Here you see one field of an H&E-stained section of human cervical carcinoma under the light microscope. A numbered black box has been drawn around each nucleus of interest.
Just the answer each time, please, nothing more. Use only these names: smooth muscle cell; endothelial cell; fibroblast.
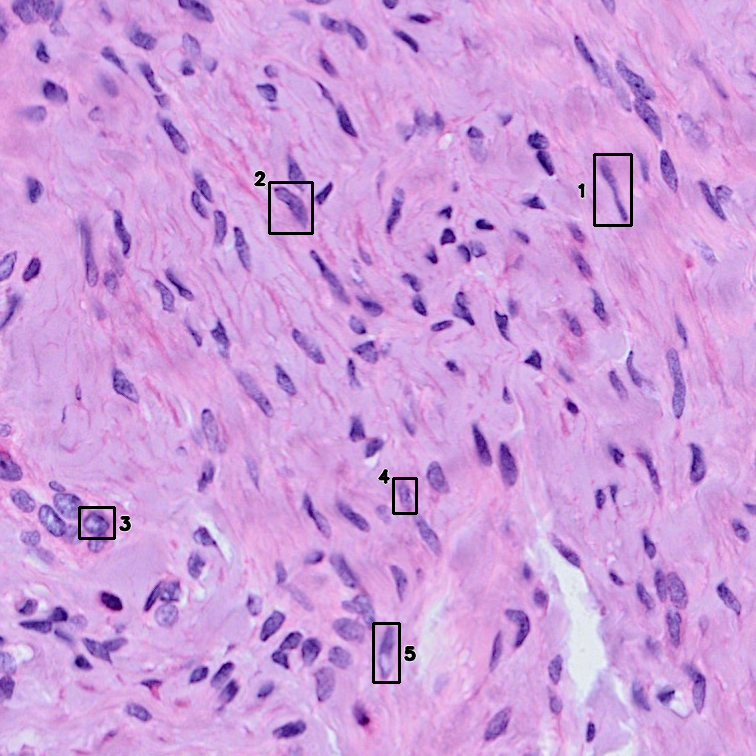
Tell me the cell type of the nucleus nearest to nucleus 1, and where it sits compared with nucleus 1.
a fibroblast above and to the right of nucleus 1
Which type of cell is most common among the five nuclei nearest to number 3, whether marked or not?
endothelial cell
